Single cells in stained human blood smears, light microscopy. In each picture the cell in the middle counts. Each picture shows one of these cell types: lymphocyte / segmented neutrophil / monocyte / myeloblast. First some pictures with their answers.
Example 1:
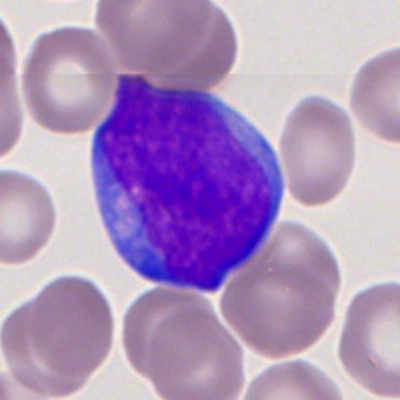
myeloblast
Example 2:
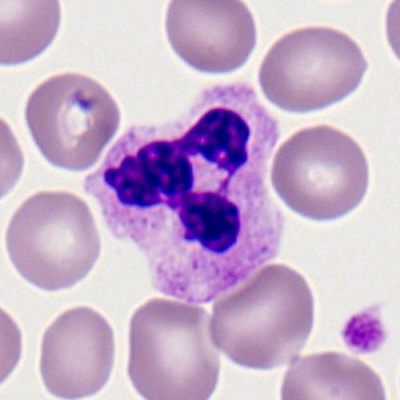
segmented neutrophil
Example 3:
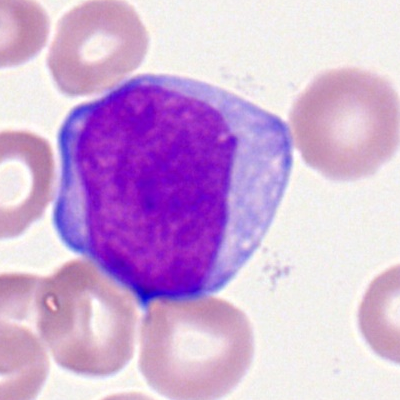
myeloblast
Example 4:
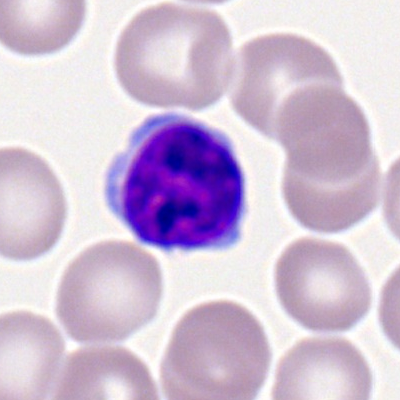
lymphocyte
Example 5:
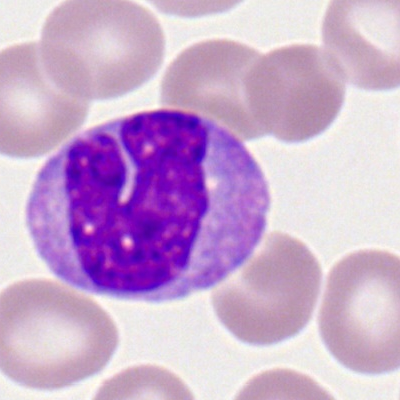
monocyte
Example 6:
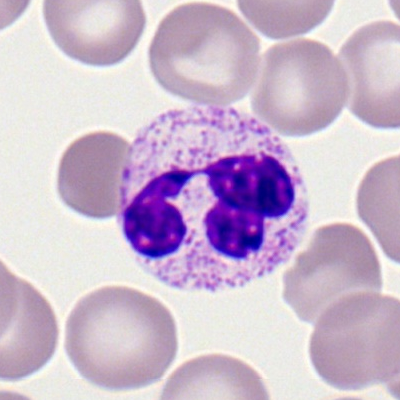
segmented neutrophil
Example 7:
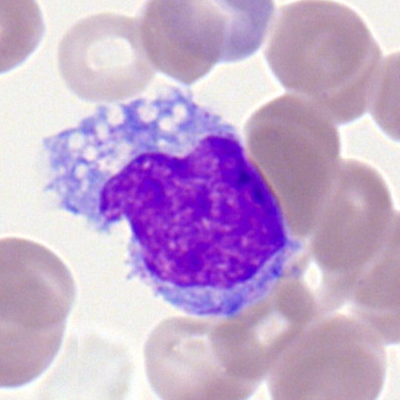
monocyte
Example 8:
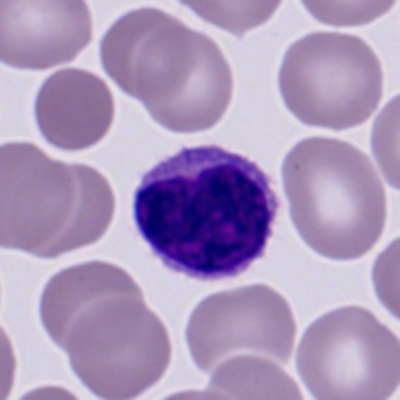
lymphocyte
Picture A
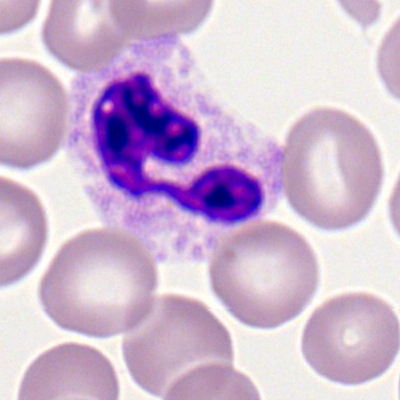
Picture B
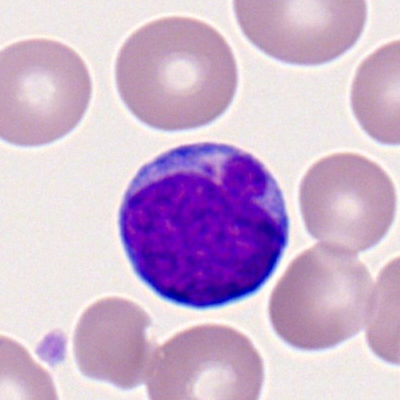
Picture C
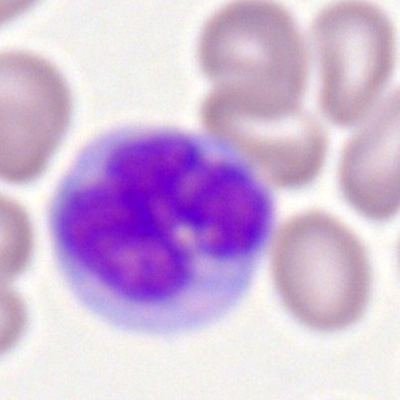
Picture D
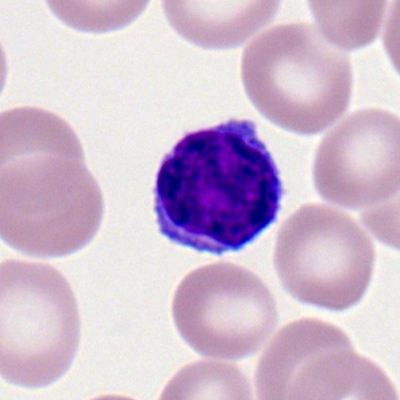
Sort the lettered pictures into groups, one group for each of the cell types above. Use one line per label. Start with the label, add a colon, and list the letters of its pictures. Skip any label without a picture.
lymphocyte: D
segmented neutrophil: A
monocyte: C
myeloblast: B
